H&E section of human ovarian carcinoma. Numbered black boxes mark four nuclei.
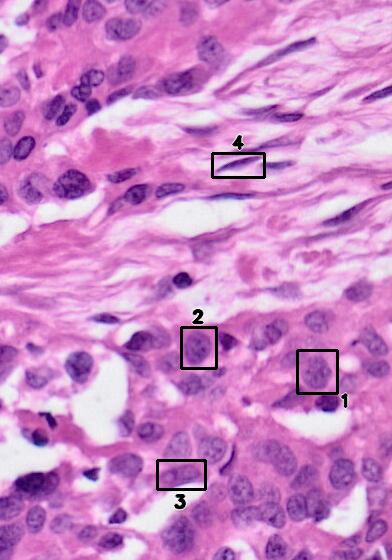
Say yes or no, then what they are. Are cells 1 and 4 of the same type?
No, as for cell 1, it is a carcinoma cell, and cell 4 is a fibroblast.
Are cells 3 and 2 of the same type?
Yes, cells 3 and 2 are of one type, both being carcinoma cells.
